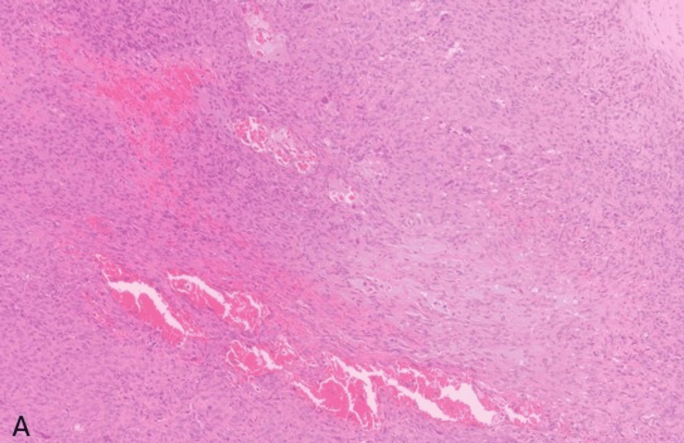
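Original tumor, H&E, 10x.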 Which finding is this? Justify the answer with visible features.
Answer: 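Densely packed elongated cells with spindle-shaped nuclei. That points to this answer: spindle cell proliferation.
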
